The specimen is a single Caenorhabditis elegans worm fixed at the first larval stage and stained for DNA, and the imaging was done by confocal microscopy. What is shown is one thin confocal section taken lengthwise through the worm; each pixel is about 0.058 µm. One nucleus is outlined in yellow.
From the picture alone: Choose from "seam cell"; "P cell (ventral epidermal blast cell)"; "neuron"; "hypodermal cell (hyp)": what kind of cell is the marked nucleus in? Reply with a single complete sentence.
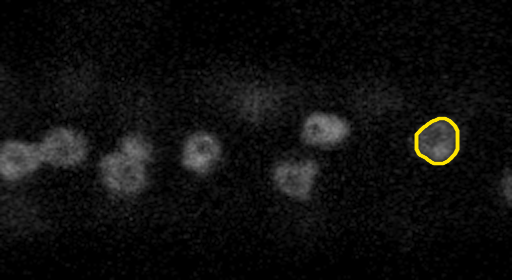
This is the nucleus of a seam cell.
